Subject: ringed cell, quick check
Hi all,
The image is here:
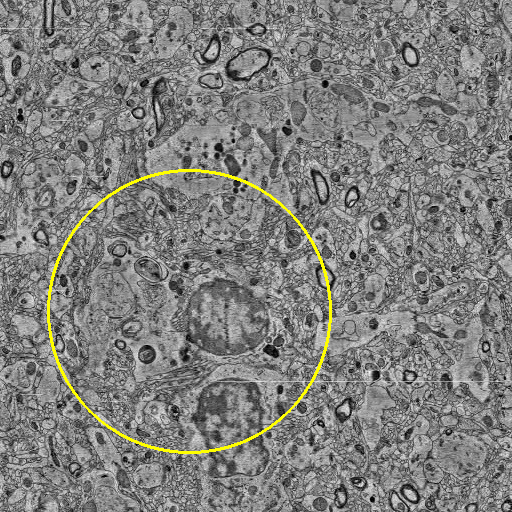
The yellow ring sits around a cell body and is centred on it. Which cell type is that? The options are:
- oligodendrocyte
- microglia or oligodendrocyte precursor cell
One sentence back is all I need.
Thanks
That ringed cell is a microglial cell or oligodendrocyte precursor cell.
